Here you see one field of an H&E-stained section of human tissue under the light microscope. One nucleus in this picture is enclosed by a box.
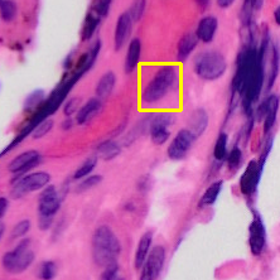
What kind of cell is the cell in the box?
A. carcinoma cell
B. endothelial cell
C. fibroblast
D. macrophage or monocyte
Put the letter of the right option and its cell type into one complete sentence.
Option B is the right choice, for the cell in the box is an endothelial cell.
